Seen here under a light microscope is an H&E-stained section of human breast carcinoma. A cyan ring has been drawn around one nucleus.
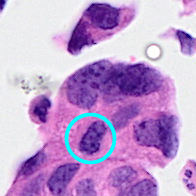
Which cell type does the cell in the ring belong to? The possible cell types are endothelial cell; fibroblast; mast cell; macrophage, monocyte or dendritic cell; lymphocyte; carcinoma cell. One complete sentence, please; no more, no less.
Cell type answer for this item: the cell in the ring is a carcinoma cell.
